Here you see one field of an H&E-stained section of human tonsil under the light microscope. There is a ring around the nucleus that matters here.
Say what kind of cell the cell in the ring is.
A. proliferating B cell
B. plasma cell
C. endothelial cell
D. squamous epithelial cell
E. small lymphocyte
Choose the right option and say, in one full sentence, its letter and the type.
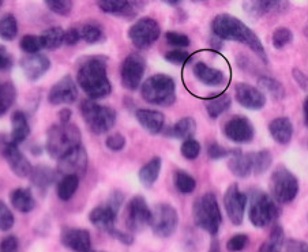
Option A gives the correct identity of the cell in the ring, which is a proliferating B cell.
